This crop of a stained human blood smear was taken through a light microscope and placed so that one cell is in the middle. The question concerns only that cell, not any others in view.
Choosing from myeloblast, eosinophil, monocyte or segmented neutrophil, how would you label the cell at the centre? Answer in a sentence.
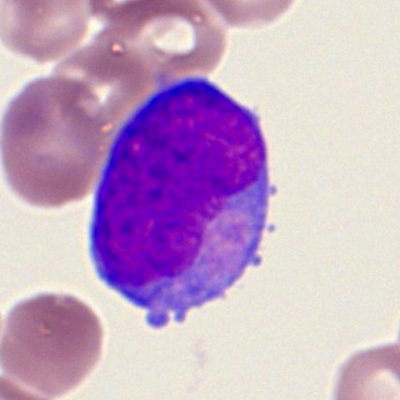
Classified as a myeloblast is the cell in the middle of this crop.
